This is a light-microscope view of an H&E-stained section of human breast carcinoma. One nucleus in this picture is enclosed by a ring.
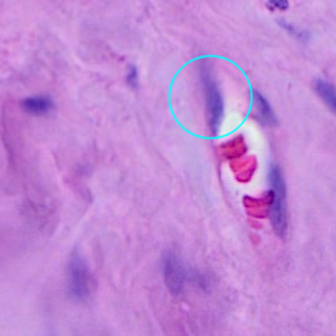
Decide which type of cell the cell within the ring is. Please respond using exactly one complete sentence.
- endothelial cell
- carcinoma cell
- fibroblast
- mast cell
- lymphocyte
In this section, the cell within the ring is an endothelial cell.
